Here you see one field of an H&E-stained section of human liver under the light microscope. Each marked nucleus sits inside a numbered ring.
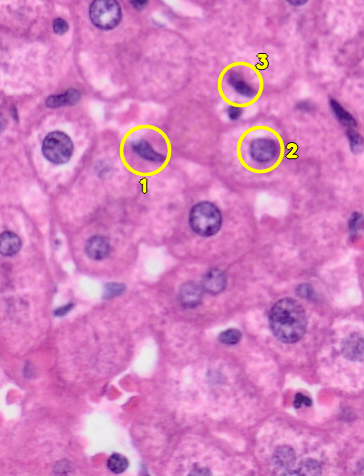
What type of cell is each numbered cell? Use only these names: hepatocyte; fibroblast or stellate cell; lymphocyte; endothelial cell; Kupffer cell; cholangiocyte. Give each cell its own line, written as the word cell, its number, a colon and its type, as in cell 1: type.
cell 1: fibroblast or stellate cell
cell 2: hepatocyte
cell 3: fibroblast or stellate cell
